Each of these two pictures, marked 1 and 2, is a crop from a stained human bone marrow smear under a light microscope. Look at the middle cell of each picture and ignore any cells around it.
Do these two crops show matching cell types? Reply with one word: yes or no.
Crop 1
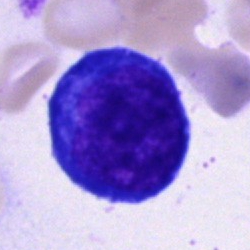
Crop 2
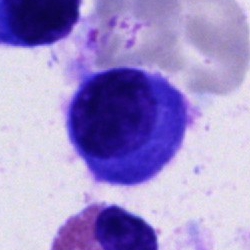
no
